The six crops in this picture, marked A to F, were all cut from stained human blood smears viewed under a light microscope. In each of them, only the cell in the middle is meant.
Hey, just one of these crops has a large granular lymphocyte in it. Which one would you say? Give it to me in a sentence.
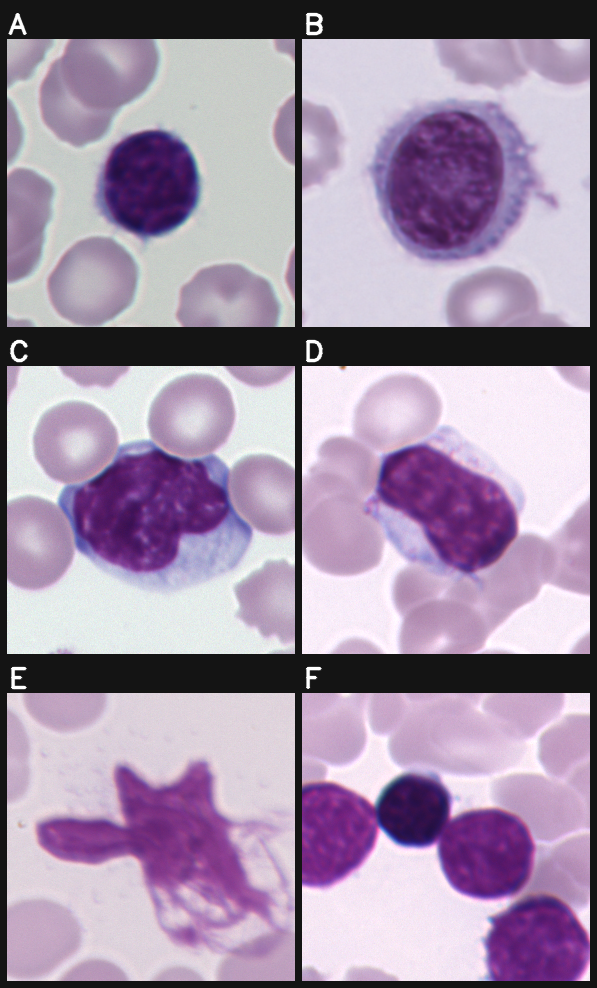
The cell identified as a large granular lymphocyte is the one in crop D.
